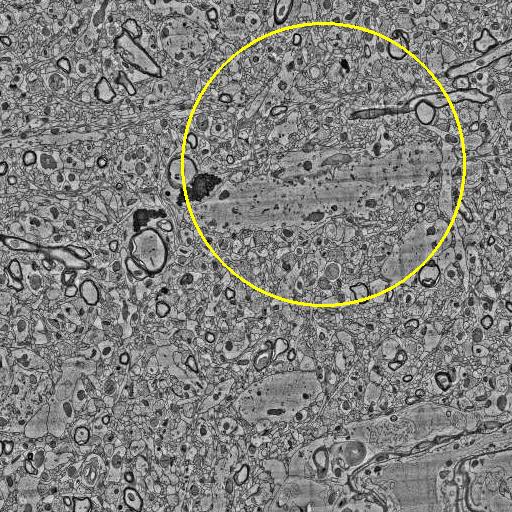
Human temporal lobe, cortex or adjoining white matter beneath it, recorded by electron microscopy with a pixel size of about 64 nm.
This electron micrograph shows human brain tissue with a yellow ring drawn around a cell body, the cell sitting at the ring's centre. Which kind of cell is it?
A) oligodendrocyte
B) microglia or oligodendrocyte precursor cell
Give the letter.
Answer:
A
